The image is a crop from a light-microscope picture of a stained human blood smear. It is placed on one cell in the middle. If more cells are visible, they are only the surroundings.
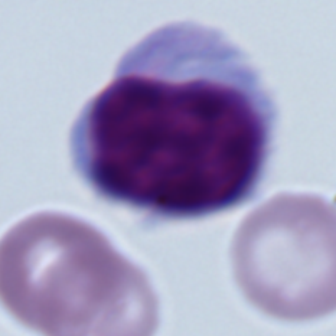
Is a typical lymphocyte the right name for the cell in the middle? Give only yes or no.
yes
